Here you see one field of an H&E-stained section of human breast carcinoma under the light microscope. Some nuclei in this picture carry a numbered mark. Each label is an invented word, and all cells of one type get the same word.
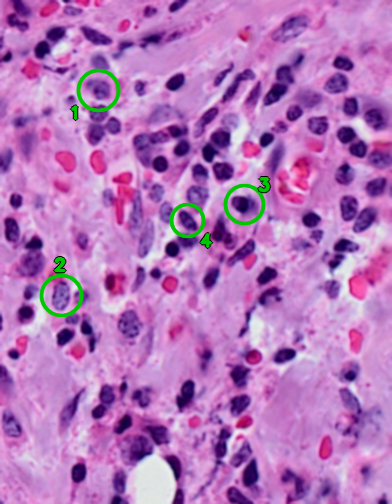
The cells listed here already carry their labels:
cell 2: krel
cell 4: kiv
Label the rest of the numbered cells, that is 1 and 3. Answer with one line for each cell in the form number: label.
1: krel
3: kiv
